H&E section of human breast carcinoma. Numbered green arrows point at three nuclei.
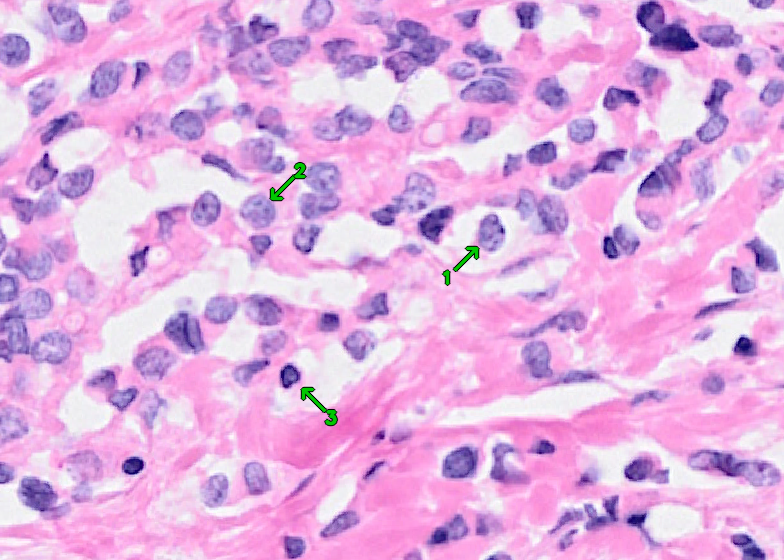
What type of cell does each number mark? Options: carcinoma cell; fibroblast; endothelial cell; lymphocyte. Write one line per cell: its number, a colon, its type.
1: carcinoma cell
2: carcinoma cell
3: lymphocyte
